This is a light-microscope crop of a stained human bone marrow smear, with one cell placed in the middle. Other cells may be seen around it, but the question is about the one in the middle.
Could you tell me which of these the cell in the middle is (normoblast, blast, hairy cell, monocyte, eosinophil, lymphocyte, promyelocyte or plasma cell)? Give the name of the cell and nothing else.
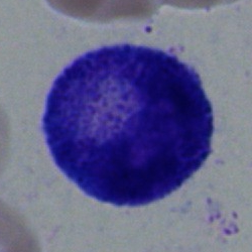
promyelocyte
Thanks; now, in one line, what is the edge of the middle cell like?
The boundary of the cell runs irregularly, ragged in parts or drawn into projections.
